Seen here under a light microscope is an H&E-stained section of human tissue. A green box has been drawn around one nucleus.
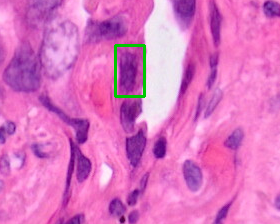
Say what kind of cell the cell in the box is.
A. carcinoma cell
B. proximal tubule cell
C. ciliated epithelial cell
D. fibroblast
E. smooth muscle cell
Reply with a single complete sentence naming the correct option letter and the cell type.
Option A wins here: the cell in the box is a carcinoma cell.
